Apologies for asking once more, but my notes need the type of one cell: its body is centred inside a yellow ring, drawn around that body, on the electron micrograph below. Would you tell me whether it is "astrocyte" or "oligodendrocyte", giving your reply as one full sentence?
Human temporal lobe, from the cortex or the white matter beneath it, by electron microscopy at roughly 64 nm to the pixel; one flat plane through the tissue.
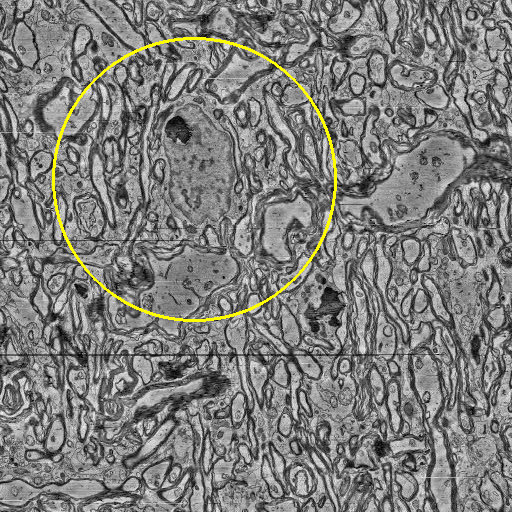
The cell that the yellow ring is centred on is an oligodendrocyte in this micrograph.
